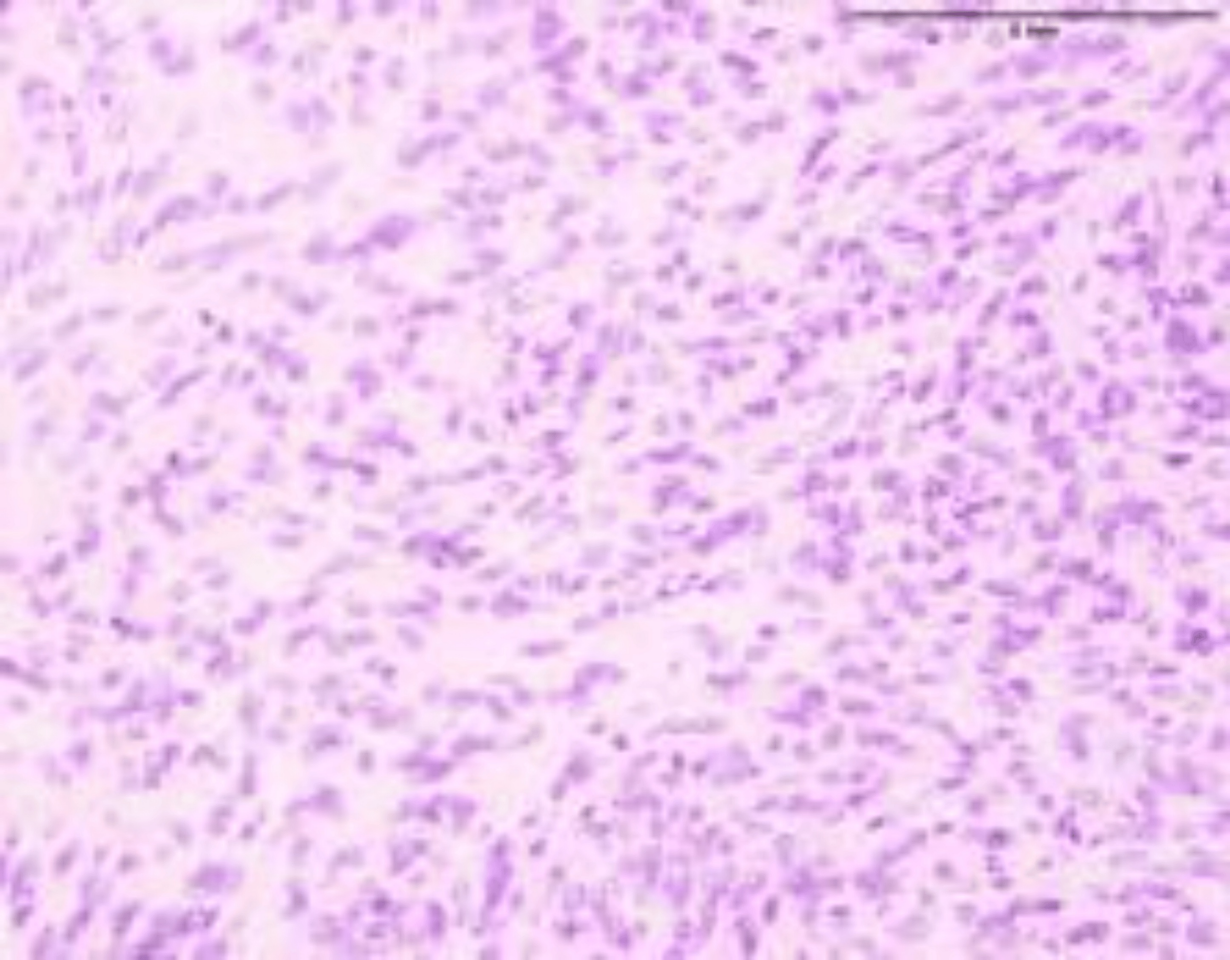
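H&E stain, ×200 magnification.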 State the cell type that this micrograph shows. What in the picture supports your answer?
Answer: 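Epithelioid to spindle-shaped tumor cells. Densely packed cells with purple, elongated to oval nuclei. Many nuclei are spindle-shaped, others are plumper and rounder. Cells lie in pale pink cytoplasm and stroma.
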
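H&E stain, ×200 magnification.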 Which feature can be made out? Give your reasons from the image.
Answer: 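Elongated nuclei run in parallel streams. The streams change direction from one area of the field to another. That points to this answer: fascicles.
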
